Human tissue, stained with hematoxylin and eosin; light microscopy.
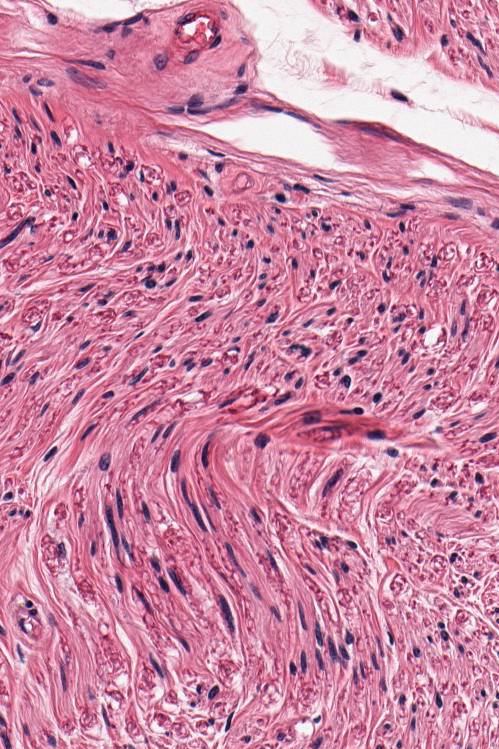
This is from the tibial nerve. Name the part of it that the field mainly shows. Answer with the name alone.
nerve fascicle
